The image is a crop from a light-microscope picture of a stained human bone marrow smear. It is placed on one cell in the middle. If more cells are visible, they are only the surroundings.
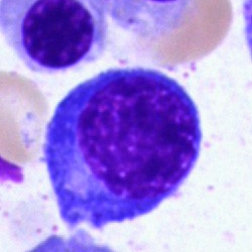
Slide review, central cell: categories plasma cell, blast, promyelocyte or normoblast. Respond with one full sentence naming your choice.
At the center of the crop sits a normoblast.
